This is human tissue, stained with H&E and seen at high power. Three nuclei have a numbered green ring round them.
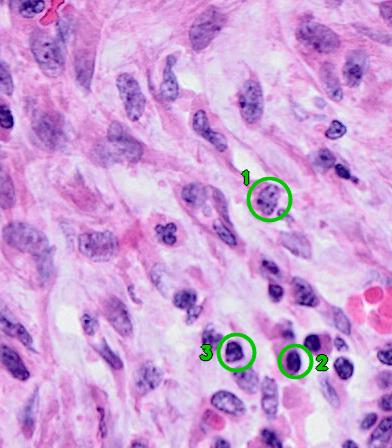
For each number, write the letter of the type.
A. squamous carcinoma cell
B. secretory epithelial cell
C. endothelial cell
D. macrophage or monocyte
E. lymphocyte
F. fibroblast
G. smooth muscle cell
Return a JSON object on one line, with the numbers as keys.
{"1": "D", "2": "E", "3": "E"}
